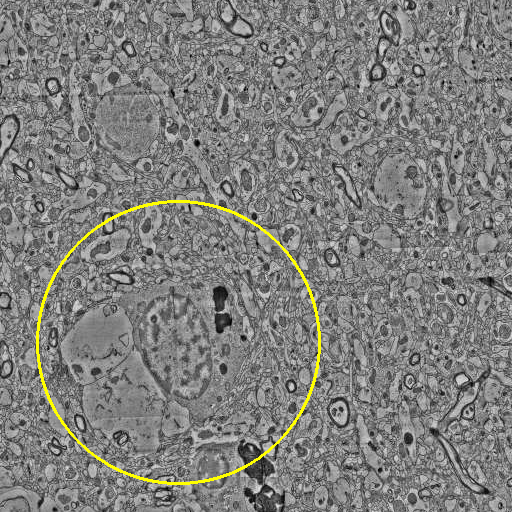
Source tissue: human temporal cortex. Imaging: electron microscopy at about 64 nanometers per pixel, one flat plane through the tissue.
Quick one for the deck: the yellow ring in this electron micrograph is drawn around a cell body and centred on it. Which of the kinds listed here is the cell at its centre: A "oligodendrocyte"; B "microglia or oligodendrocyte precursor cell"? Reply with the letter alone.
A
